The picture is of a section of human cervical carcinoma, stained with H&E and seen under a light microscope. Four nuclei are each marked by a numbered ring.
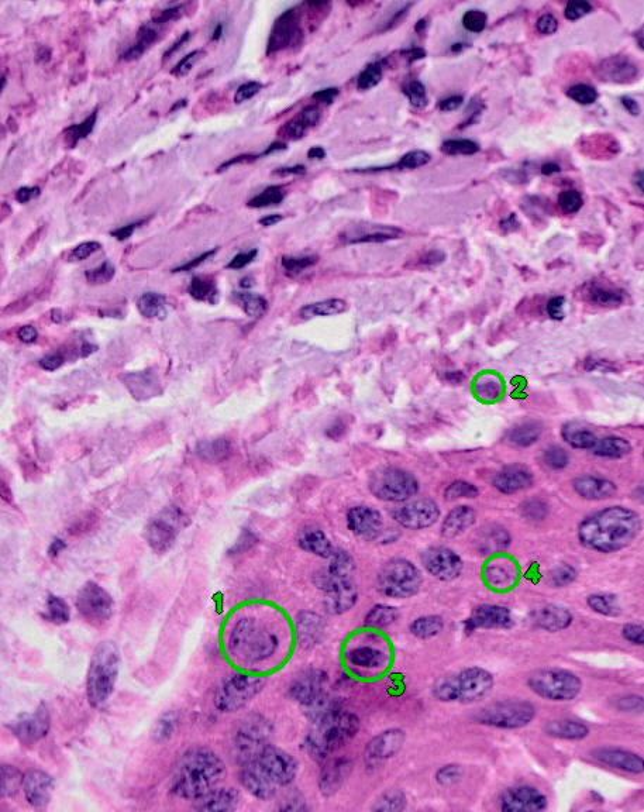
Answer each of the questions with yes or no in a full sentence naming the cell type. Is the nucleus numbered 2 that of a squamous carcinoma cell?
No, instead of a squamous carcinoma cell, the cell with number 2 is a fibroblast.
